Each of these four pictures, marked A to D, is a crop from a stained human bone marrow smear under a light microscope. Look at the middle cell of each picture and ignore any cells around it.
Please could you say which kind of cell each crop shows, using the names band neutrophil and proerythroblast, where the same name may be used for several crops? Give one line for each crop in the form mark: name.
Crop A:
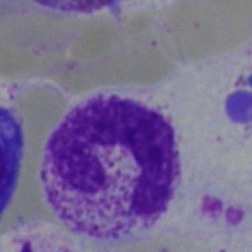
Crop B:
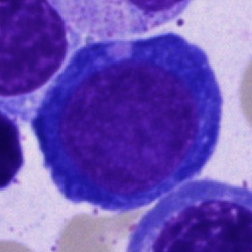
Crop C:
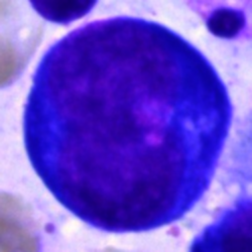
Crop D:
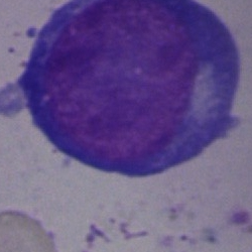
A: band neutrophil
B: proerythroblast
C: proerythroblast
D: proerythroblast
